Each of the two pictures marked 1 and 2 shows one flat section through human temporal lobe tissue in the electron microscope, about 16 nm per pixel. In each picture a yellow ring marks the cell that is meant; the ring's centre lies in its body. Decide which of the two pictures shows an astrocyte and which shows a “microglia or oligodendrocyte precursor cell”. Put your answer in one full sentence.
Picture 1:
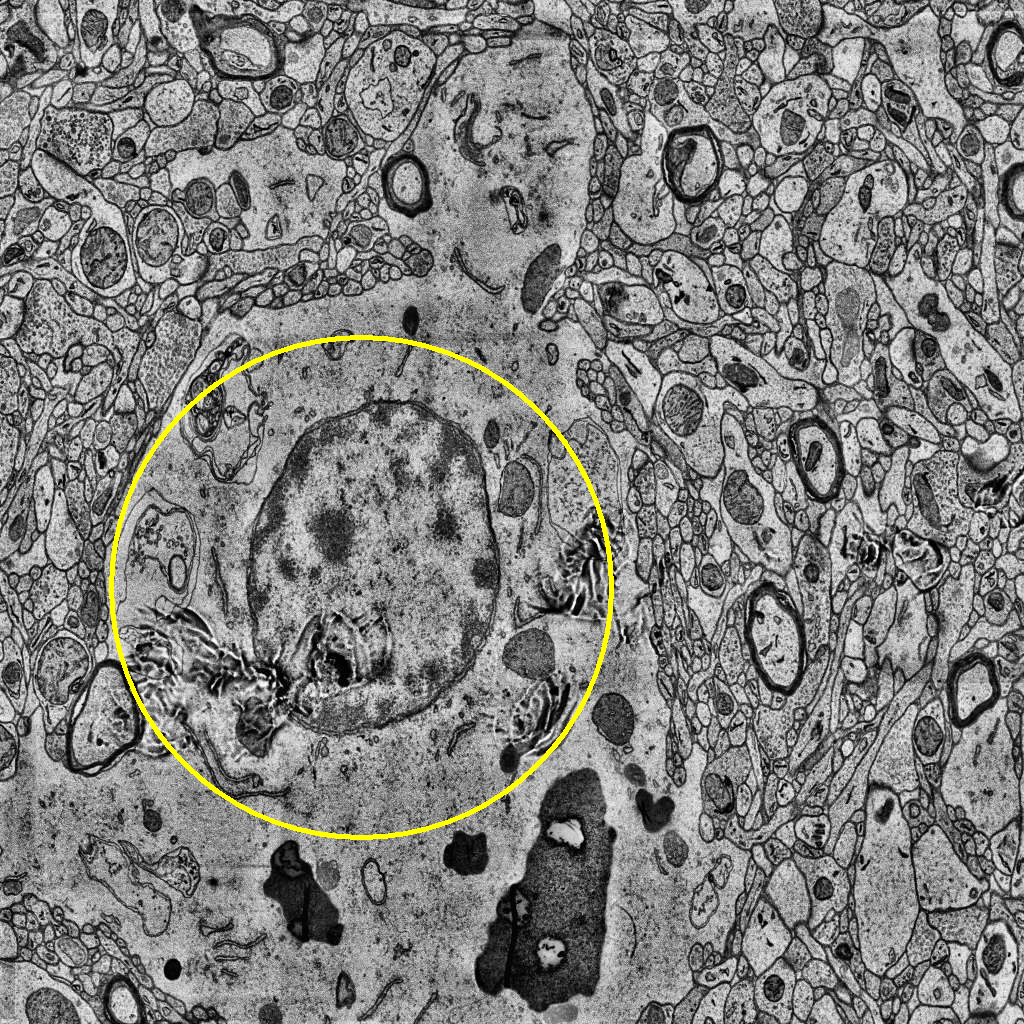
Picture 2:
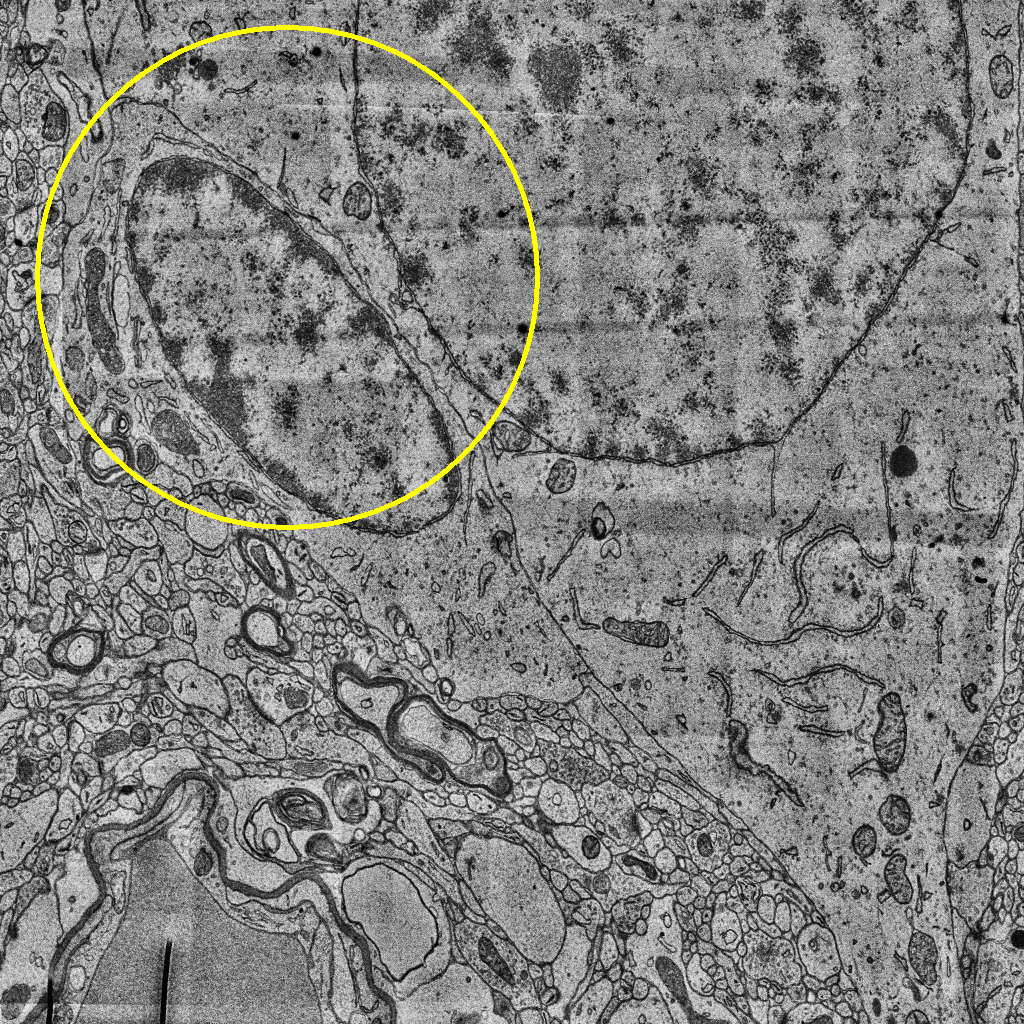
It is picture 1 that shows an astrocyte, and picture 2 that shows a “microglia or oligodendrocyte precursor cell”.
